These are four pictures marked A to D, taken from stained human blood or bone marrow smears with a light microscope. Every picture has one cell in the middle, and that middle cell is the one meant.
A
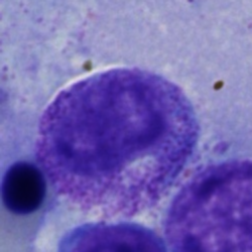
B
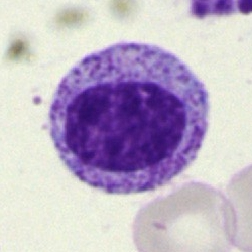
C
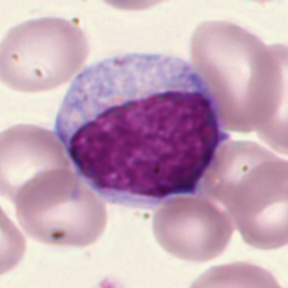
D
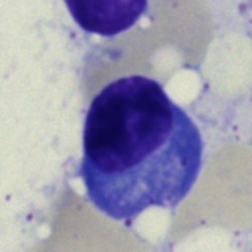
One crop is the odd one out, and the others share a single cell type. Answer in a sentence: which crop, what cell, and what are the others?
Crop D breaks the pattern with a plasma cell; all the others show myelocytes.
